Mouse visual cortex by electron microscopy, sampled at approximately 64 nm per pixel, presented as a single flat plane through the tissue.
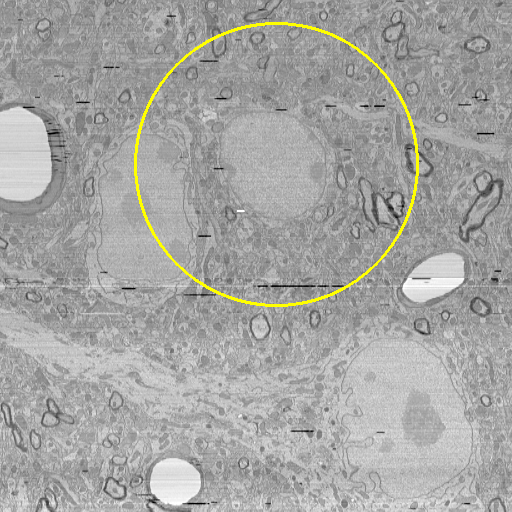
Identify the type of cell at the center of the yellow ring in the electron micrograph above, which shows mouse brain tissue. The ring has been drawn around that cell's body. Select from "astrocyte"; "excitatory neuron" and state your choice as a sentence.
The yellow ring is centered on the body of an astrocyte.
